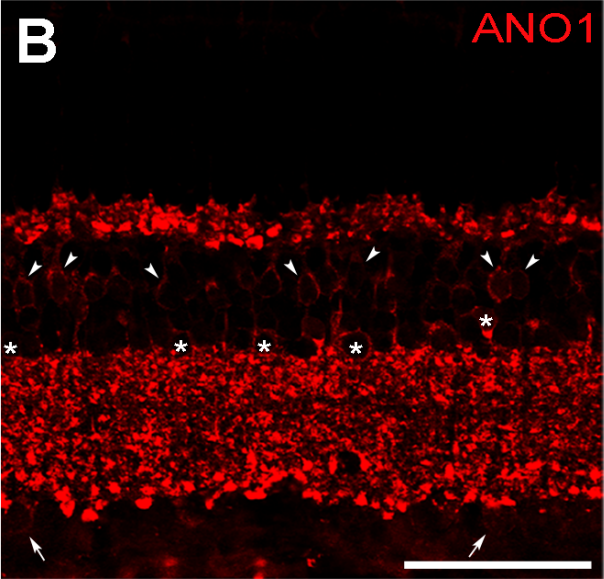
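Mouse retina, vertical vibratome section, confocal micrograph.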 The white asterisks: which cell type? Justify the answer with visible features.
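Amacrine cells. Asterisks sit on cell bodies at the inner edge of the middle cell layer. These cell bodies border the broad band of red puncta below.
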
